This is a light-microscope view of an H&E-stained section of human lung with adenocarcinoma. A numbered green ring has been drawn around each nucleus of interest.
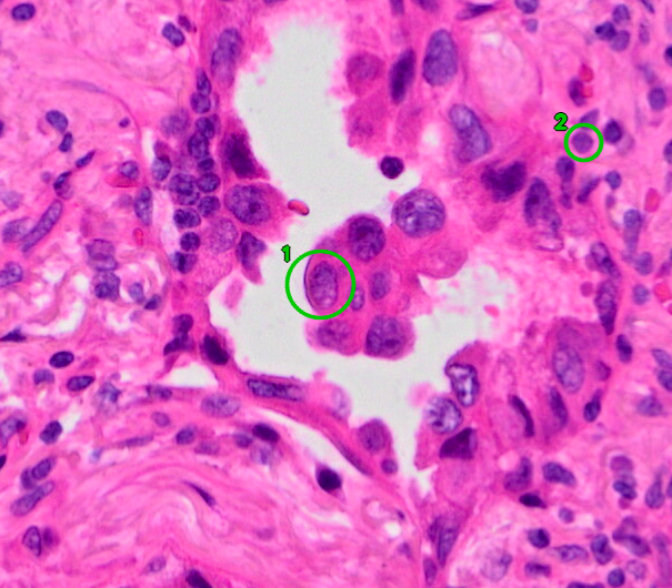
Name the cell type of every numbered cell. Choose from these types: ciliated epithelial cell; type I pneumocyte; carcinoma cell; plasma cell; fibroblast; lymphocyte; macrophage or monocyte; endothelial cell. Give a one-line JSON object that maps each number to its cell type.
{"1": "carcinoma cell", "2": "lymphocyte"}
